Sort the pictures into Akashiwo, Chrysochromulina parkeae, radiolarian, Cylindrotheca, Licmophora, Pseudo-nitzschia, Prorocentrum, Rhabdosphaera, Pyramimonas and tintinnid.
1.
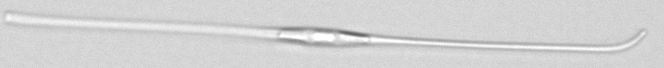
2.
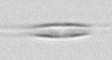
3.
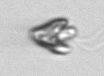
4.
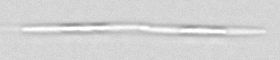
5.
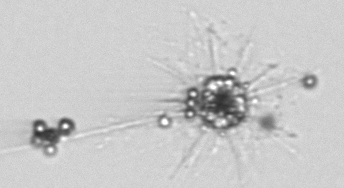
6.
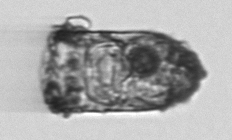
Cylindrotheca: 1, 2
Pyramimonas: 3
Pseudo-nitzschia: 4
Radiolarians: 5
Tintinnids: 6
